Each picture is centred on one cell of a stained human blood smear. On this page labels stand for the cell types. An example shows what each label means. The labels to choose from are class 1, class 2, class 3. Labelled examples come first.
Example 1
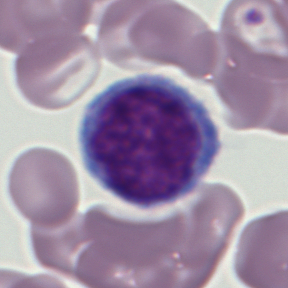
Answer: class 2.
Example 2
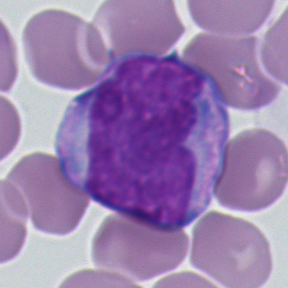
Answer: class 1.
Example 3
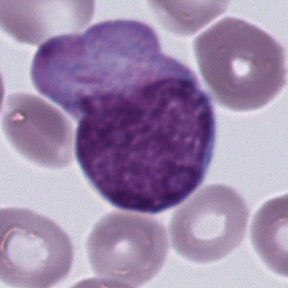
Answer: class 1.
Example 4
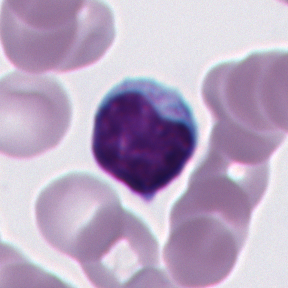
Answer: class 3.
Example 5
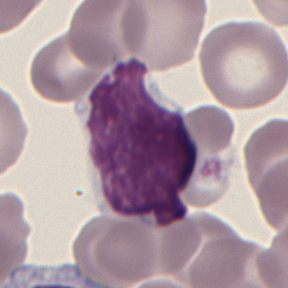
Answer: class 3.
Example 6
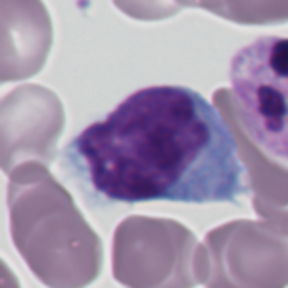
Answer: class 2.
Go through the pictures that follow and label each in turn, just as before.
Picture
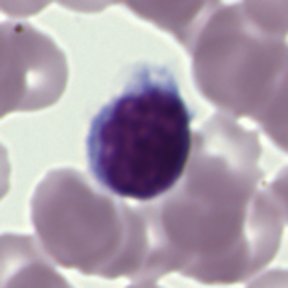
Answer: class 3.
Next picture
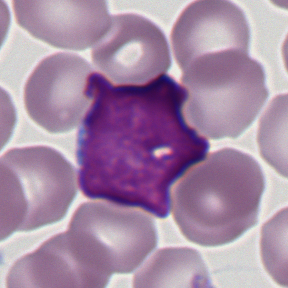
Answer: class 3.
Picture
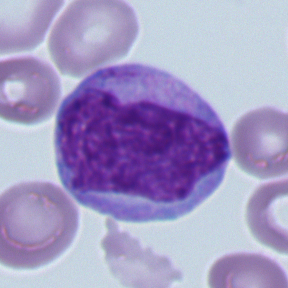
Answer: class 1.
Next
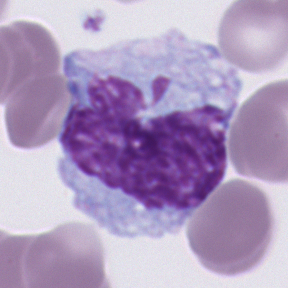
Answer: class 2.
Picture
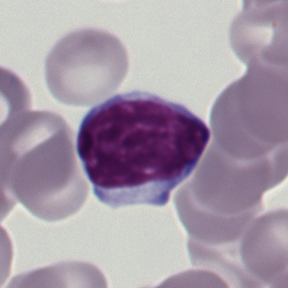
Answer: class 3.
